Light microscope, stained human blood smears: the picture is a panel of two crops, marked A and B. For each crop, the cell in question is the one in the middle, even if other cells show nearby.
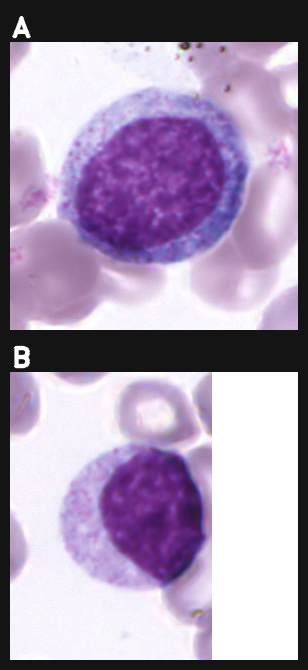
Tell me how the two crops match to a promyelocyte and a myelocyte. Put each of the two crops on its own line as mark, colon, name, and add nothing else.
A: promyelocyte
B: myelocyte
